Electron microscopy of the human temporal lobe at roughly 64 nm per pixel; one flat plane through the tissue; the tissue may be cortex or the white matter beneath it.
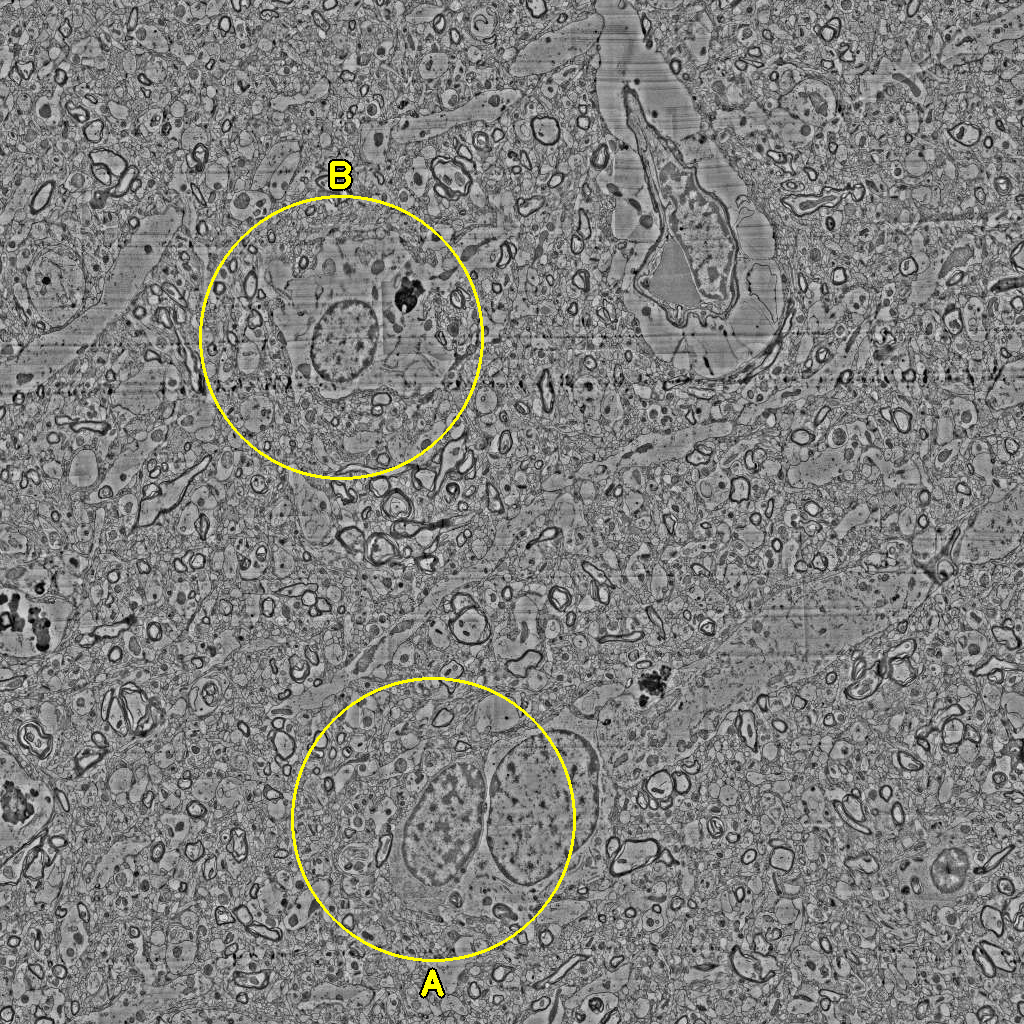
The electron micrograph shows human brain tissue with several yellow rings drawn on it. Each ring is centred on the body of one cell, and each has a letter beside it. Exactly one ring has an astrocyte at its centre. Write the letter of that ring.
B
